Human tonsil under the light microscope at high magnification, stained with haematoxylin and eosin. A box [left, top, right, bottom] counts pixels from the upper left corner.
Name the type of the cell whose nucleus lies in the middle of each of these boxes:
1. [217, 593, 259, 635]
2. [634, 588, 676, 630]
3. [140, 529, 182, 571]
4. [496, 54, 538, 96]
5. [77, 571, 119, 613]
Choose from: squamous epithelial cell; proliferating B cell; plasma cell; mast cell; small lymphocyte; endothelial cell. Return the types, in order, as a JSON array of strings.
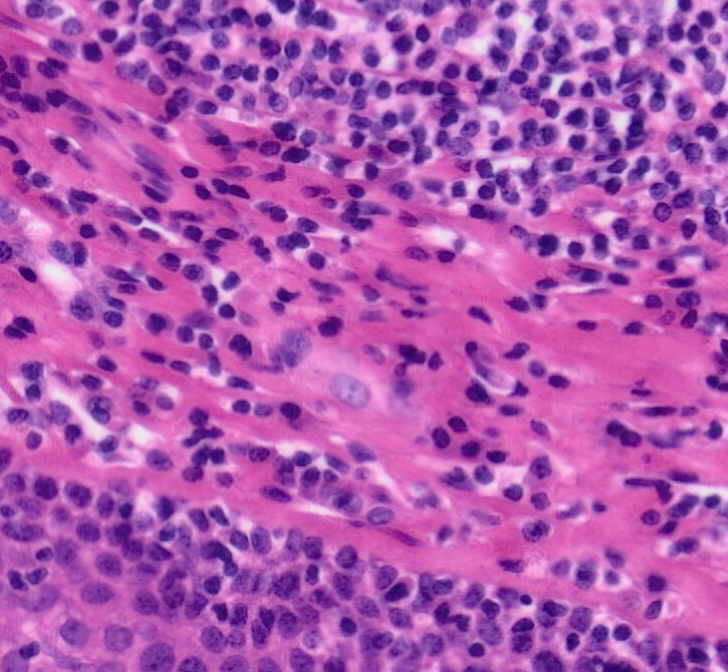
["squamous epithelial cell", "endothelial cell", "squamous epithelial cell", "small lymphocyte", "squamous epithelial cell"]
